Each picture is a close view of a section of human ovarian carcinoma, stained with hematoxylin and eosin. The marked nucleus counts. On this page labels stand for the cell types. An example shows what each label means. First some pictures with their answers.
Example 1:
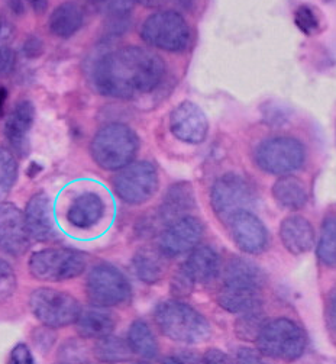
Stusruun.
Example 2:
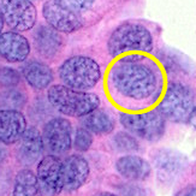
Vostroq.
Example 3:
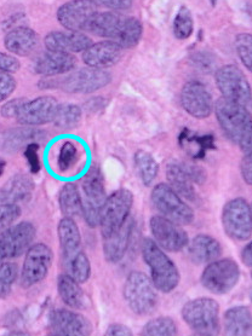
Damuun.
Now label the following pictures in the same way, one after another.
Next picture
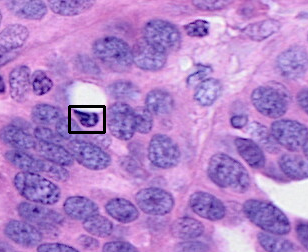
Damuun.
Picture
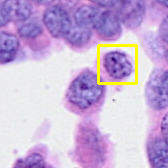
Stusruun.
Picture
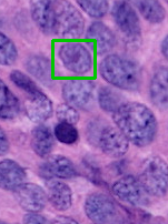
Vostroq.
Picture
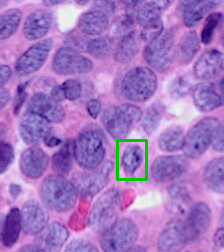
Stusruun.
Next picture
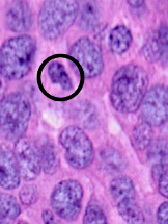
Stusruun.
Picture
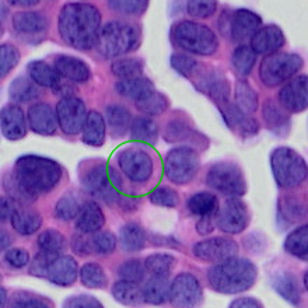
Vostroq.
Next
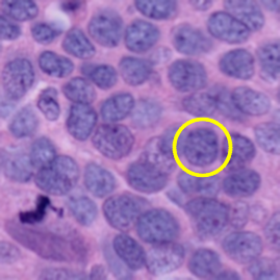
Vostroq.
